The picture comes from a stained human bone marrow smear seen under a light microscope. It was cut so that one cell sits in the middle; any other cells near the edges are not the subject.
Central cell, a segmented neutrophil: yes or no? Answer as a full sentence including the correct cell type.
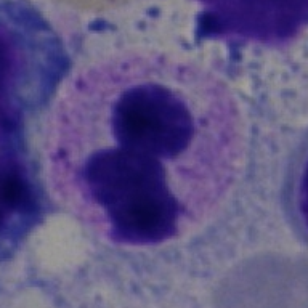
Yes, the cell at the middle of the frame is a segmented neutrophil.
